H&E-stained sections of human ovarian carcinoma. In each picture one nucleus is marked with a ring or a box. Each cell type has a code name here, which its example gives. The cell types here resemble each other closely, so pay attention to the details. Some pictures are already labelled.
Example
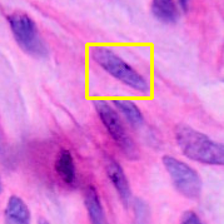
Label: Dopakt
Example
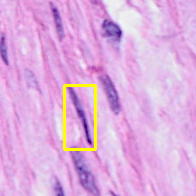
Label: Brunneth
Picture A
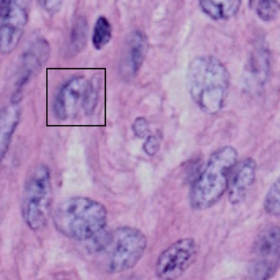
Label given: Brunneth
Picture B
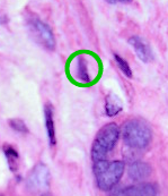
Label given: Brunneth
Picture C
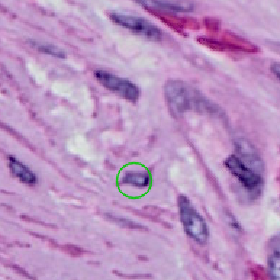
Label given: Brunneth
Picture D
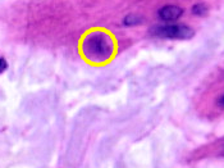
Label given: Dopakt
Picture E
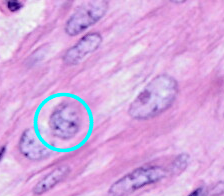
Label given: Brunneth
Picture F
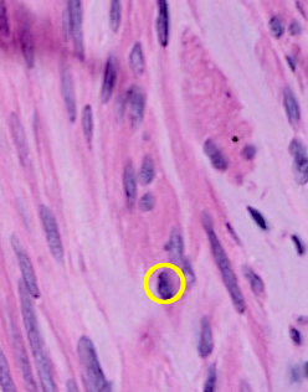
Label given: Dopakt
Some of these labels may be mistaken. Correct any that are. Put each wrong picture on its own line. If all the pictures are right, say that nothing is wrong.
No label is wrong.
